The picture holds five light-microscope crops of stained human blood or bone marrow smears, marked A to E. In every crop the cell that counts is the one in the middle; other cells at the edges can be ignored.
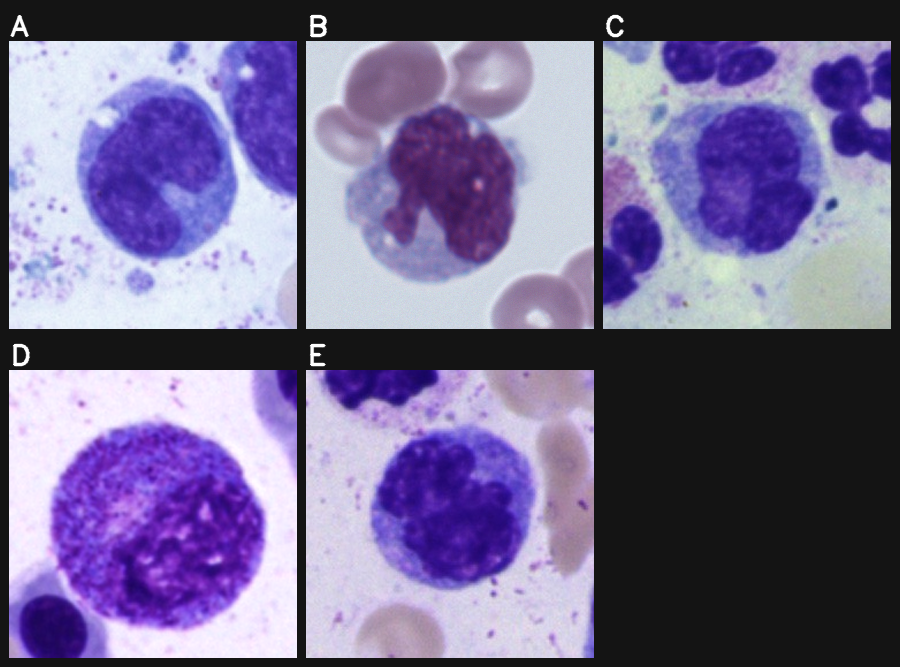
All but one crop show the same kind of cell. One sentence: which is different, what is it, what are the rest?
The exception is crop D, with a promyelocyte; the remaining crops all show monocytes.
